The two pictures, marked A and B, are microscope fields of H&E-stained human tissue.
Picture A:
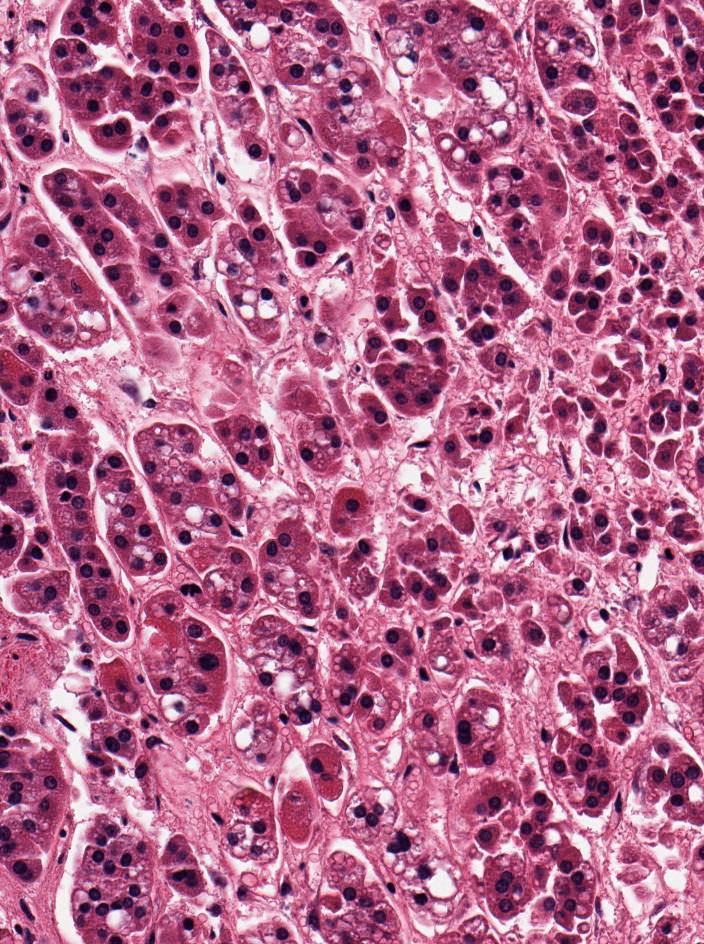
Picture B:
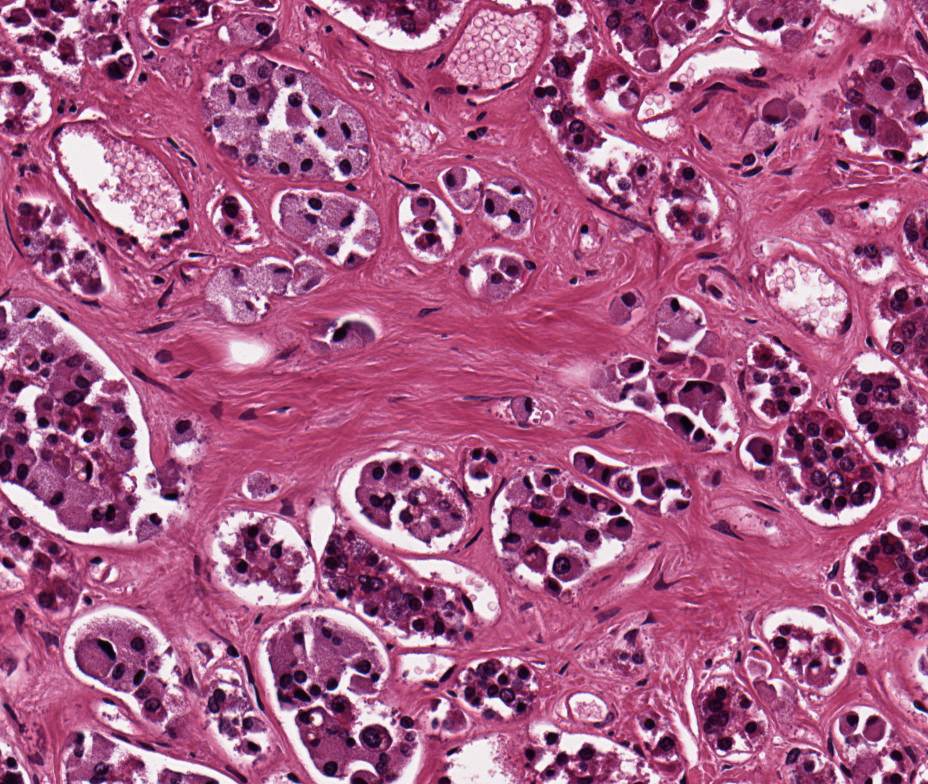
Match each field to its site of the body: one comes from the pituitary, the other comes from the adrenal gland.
A: adrenal gland
B: pituitary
